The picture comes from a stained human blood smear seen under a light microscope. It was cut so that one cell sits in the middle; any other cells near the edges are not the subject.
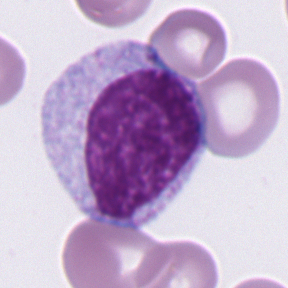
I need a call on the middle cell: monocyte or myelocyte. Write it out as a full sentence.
Framed in the middle of the crop is a myelocyte.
